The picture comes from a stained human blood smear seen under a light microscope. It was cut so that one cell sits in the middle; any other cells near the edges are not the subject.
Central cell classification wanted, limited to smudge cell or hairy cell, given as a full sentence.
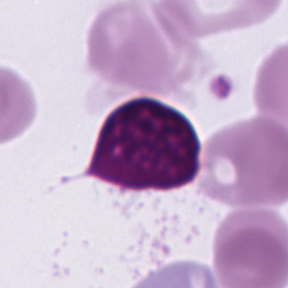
In this crop, the cell at the very middle is a smudge cell.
